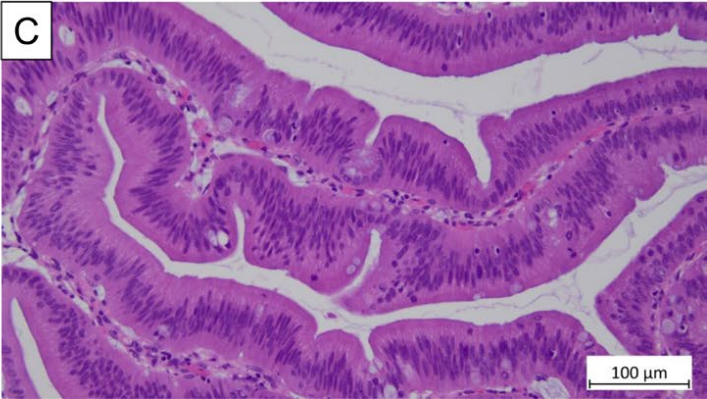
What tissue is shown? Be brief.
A: Atypical columnar epithelium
